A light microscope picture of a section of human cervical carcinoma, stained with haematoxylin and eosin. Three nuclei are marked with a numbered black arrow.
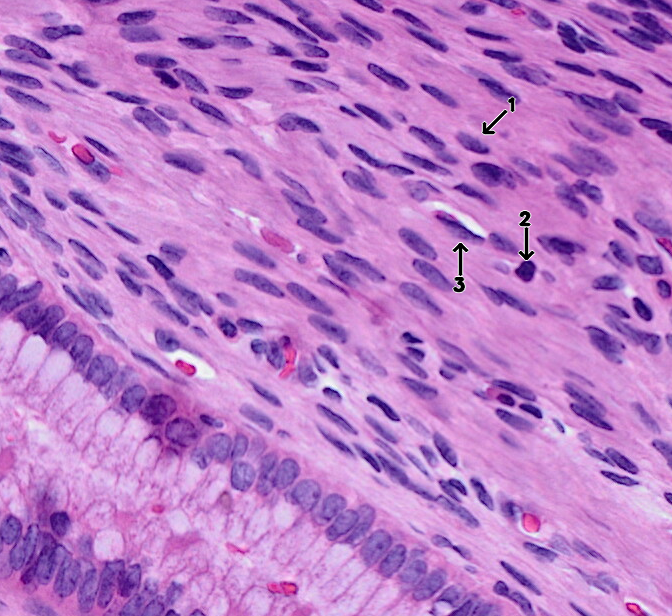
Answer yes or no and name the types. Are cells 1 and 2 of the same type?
No, cell 1 is a fibroblast and cell 2 is a lymphocyte.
